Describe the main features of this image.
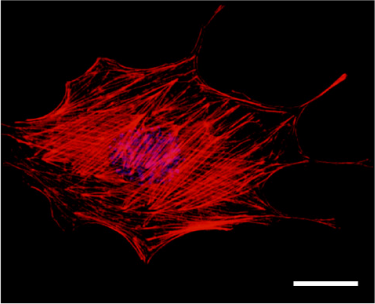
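Dense bundles of straight stress fibers run roughly parallel across the whole cytoplasm, giving the cell a striated look, and converge toward its angular margins. The cell is broadly spread with several corners and thin extensions reaching out to the edges of the field, one long slender process running toward the upper right. The oval nucleus, shown in blue, lies near the centre of the cell, partly overlain by the red fiber bundles.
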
